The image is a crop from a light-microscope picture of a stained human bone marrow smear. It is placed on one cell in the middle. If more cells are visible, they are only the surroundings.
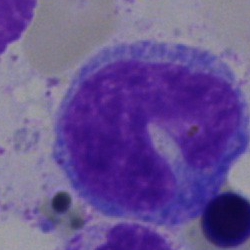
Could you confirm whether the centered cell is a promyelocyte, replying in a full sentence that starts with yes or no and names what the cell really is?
No, in the middle of the crop there is a monocyte rather than a promyelocyte.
